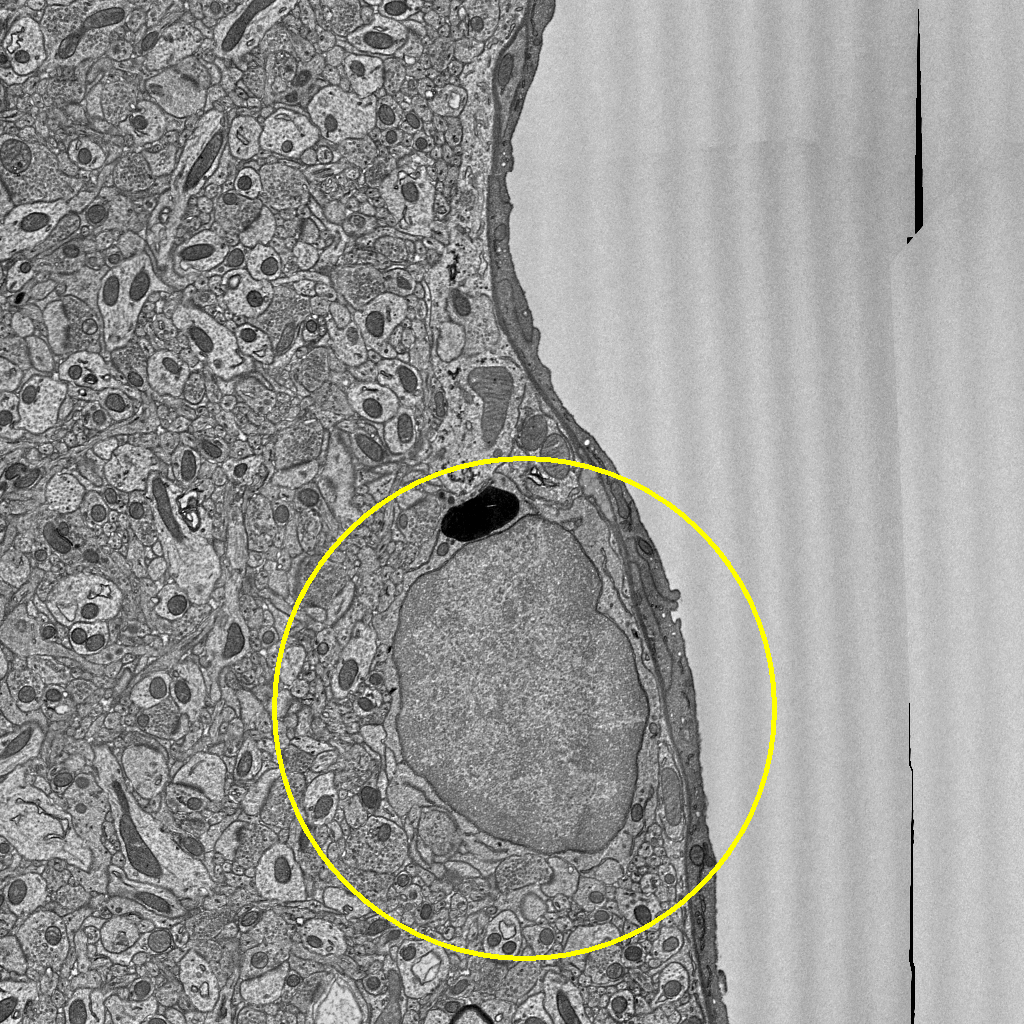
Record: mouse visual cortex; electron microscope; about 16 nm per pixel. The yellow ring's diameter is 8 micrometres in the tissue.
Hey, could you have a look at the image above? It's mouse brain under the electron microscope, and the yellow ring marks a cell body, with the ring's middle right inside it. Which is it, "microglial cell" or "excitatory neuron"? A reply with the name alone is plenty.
microglial cell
